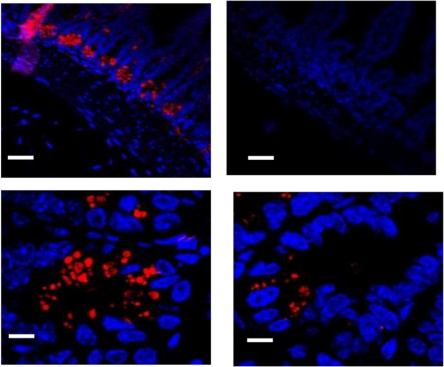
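These confocal images show intestinal crypts, with Paneth cells at the base of the crypts standing out by their red granules among blue nuclei. In the upper left image many red granules line the bottoms of the crypts. In the upper right image at the same magnification almost no red granules are seen, only blue nuclei. The lower row, at higher magnification, shows the red granules lying in the cytoplasm between oval blue nuclei, plentiful on the left and sparser on the right.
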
